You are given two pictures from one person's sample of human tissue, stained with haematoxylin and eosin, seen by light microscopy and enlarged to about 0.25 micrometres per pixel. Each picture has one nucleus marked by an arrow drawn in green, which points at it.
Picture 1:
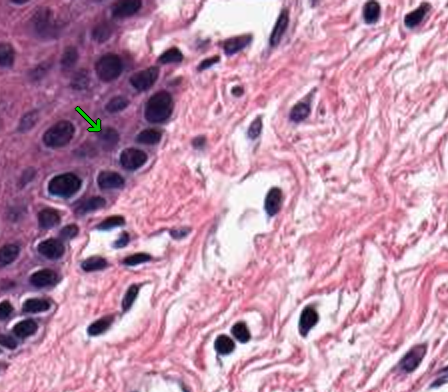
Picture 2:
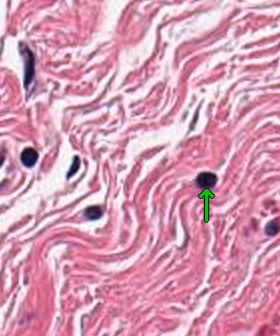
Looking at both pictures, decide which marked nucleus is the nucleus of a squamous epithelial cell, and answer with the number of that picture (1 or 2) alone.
1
